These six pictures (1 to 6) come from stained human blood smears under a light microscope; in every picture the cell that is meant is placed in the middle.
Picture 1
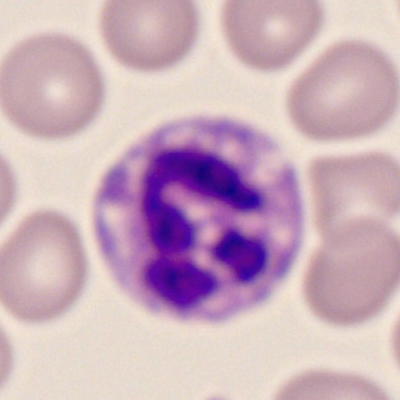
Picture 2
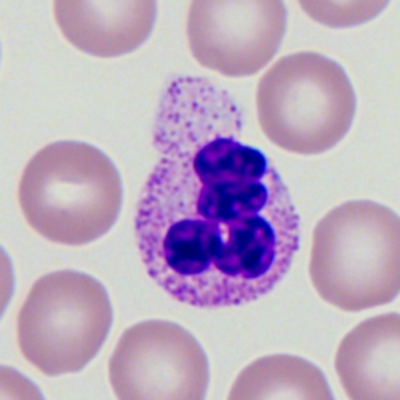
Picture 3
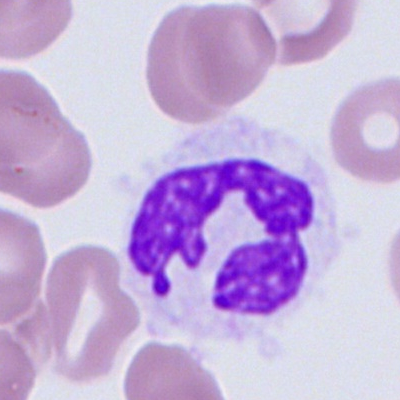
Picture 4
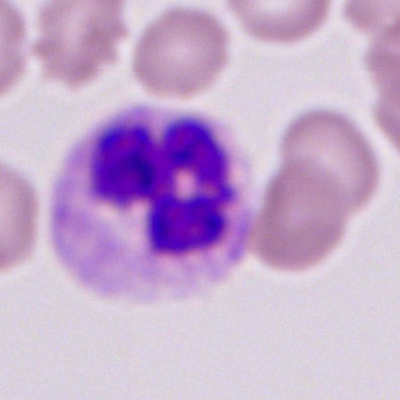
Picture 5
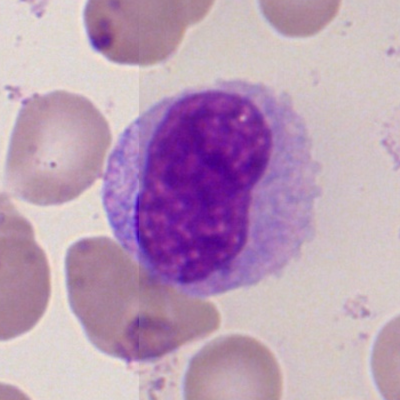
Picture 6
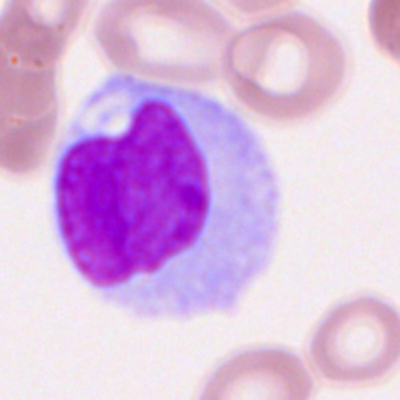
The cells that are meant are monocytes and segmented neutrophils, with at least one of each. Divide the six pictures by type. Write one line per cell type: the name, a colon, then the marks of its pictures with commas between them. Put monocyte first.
monocyte: 5, 6
segmented neutrophil: 1, 2, 3, 4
